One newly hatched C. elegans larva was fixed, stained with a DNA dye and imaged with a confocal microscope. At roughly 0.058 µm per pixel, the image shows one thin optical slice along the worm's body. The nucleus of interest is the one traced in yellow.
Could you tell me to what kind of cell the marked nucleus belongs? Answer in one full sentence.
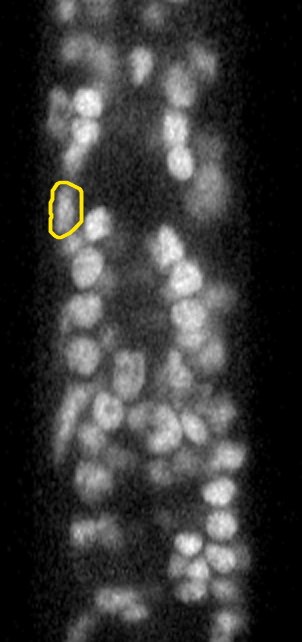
It is the nucleus of a neuron.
